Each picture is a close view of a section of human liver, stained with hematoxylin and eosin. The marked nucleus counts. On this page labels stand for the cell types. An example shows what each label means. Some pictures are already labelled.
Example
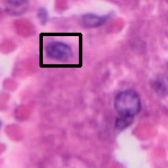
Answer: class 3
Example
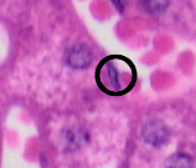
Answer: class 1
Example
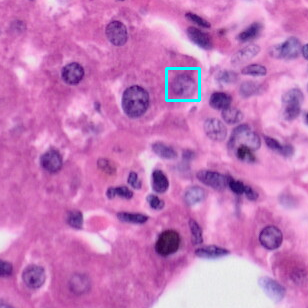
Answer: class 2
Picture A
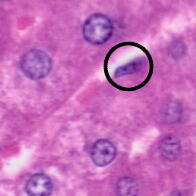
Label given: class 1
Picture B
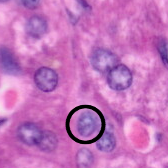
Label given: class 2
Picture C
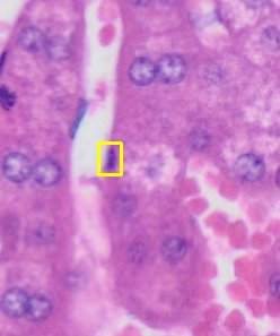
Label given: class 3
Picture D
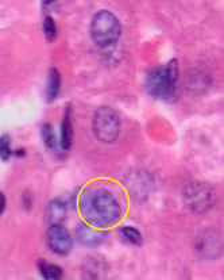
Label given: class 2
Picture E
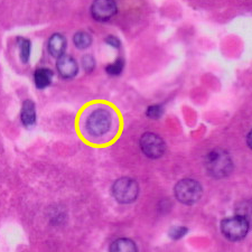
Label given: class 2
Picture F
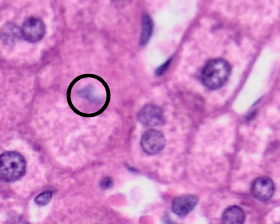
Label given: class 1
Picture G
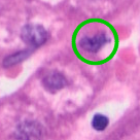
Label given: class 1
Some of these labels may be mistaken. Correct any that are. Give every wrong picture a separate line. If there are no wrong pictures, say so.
Nothing to fix; every label fits.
